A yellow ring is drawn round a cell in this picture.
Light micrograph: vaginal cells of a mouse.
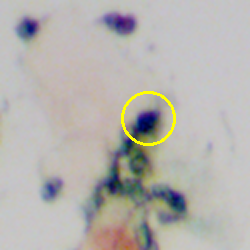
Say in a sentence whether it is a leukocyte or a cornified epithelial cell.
The cell in the ring is a leukocyte.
